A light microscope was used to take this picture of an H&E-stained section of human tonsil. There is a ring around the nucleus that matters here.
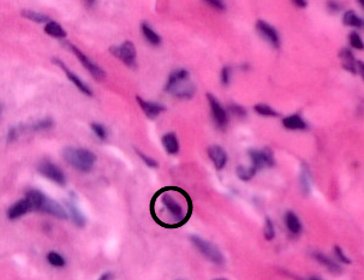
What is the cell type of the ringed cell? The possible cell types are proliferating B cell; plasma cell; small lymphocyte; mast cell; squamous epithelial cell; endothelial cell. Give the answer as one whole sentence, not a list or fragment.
To be brief about it, the ringed cell is a mast cell.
